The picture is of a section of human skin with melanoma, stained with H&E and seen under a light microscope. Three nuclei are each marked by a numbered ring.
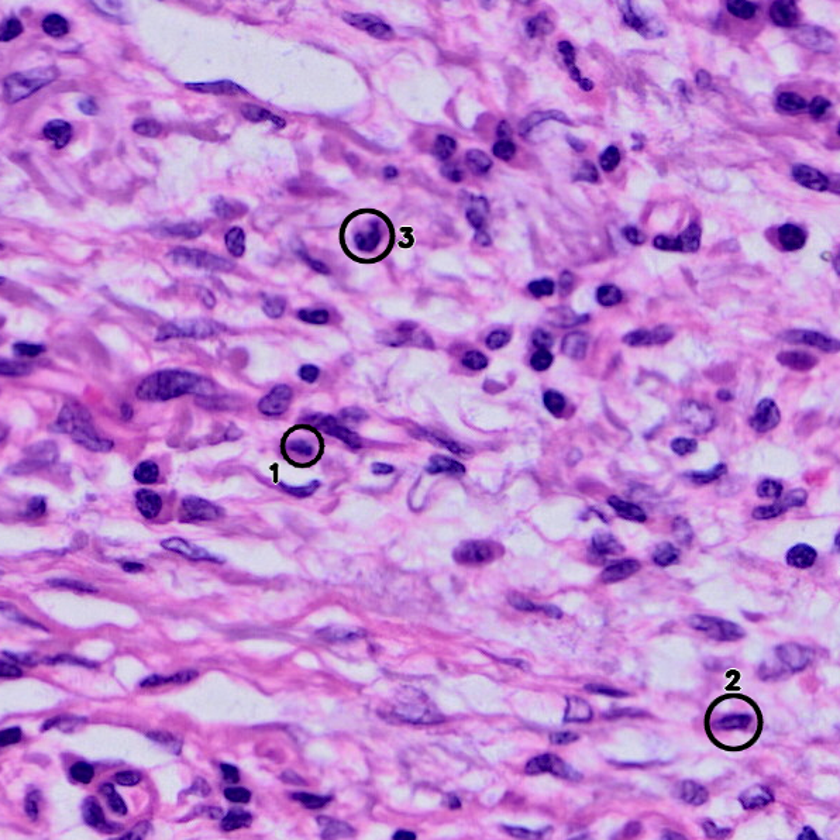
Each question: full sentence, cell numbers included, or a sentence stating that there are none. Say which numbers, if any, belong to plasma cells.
Cells 1 and 3 are plasma cells by cell type.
